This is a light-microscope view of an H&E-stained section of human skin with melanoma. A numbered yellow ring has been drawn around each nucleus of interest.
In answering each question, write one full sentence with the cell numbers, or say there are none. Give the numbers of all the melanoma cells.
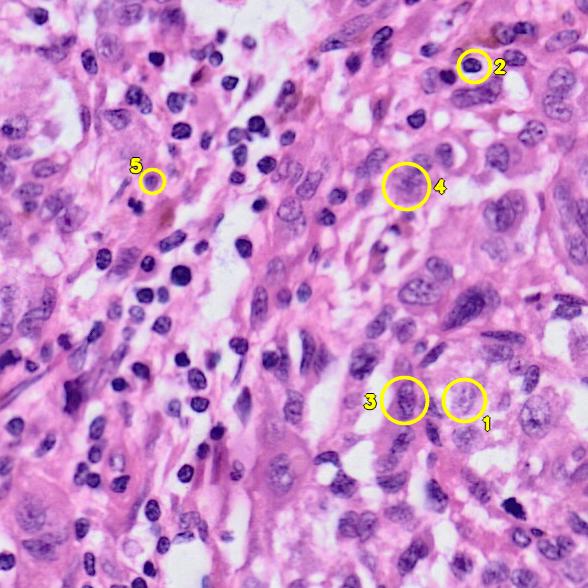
Here, the cells that carry numbers 1, 3 and 4 are melanoma cells.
